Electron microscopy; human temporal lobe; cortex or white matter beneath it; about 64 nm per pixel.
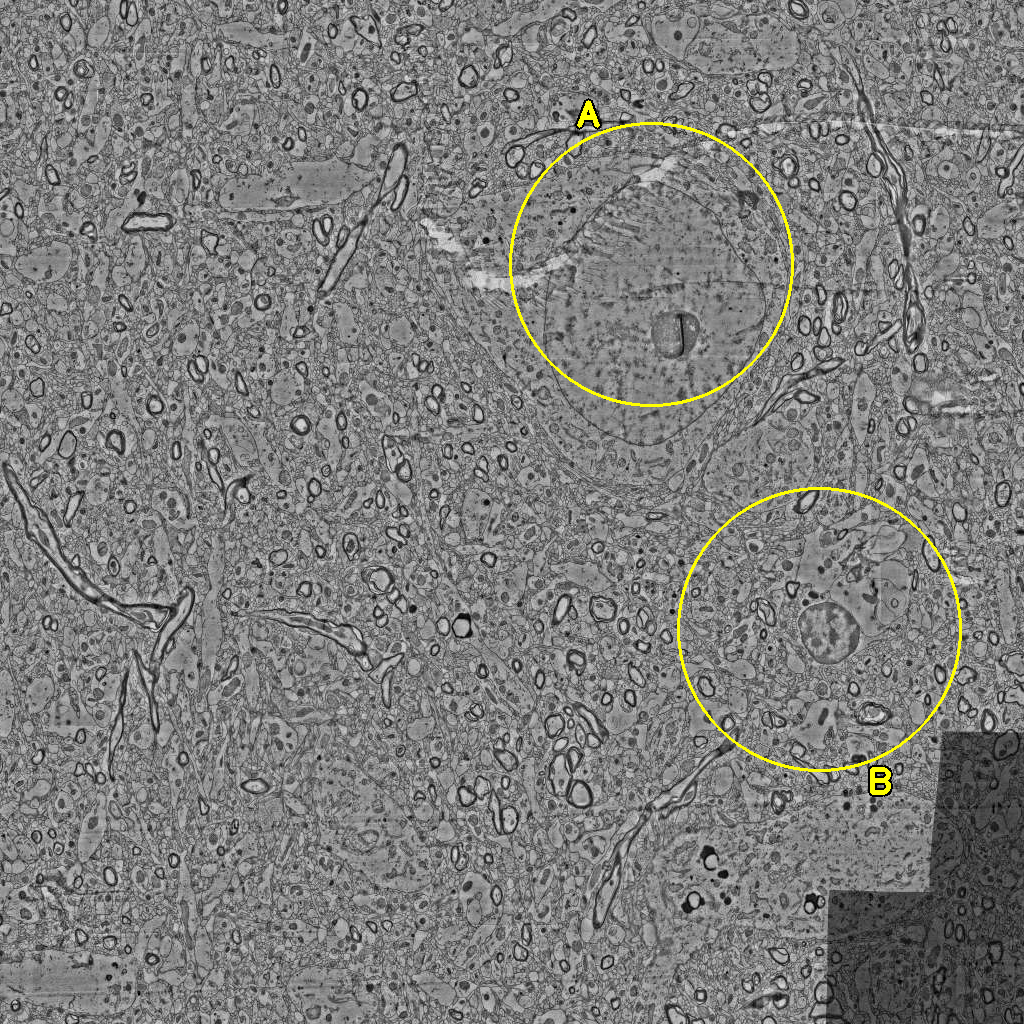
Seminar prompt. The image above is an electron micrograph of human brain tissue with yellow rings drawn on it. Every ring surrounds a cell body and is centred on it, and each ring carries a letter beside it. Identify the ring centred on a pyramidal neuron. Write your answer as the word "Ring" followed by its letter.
Ring A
